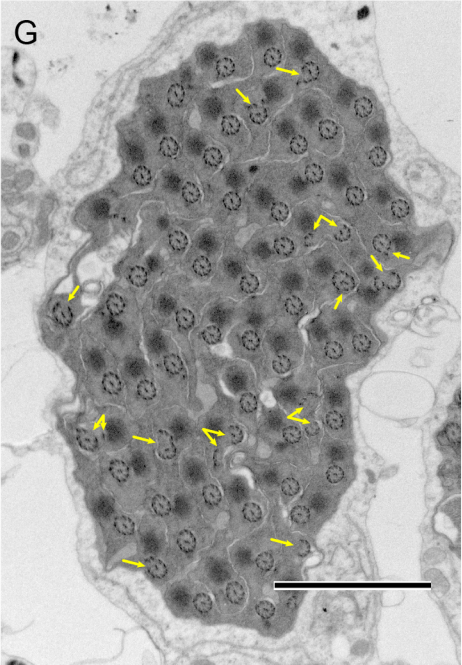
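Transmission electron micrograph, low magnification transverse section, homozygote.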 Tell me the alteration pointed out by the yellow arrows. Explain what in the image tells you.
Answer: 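Axonemal splits. Arrows point at axonemes whose ring of doublets is opened or parted. Most other axonemes show a closed ring.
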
